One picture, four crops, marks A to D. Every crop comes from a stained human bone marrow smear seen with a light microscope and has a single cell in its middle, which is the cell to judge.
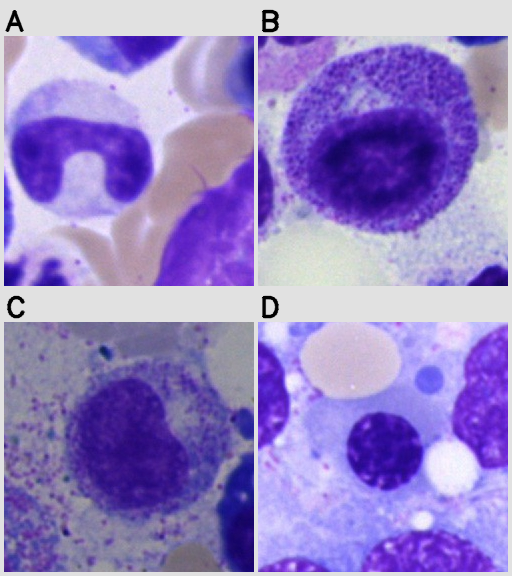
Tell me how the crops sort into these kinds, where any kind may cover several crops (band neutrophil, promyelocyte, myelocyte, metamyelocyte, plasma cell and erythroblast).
A: band neutrophil
B: myelocyte
C: metamyelocyte
D: erythroblast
